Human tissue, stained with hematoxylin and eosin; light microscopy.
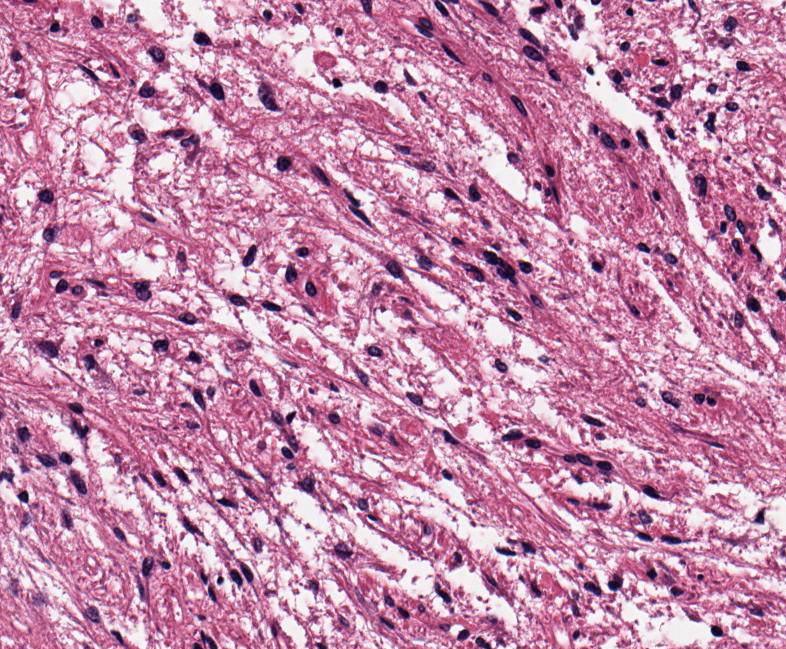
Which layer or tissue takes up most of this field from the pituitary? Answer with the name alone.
neurohypophysis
